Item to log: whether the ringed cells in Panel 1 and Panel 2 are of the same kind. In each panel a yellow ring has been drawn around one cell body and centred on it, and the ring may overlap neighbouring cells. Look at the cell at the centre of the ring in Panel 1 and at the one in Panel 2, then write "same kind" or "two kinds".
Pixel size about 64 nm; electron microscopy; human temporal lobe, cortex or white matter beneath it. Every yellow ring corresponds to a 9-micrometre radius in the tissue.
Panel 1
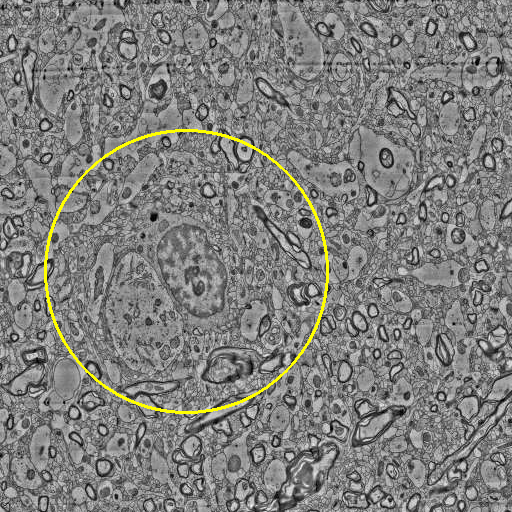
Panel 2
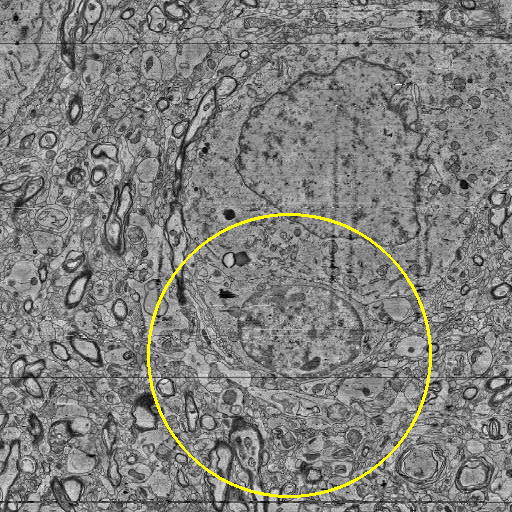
same kind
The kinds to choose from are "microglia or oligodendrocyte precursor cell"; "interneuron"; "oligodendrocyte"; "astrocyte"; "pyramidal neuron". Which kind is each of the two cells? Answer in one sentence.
In each of the two pictures, the ringed cell is an oligodendrocyte.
